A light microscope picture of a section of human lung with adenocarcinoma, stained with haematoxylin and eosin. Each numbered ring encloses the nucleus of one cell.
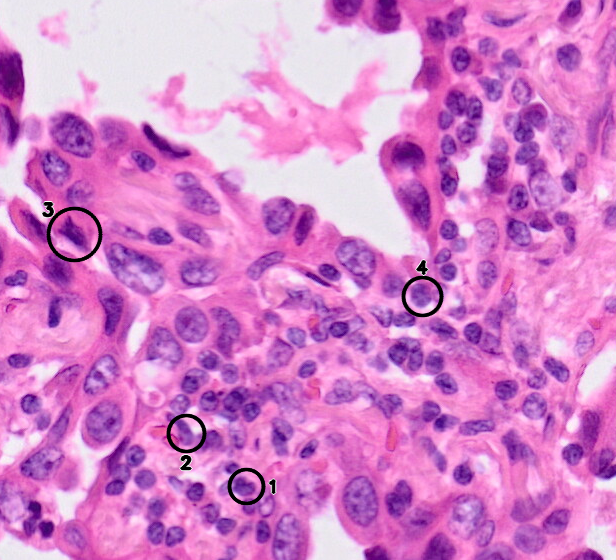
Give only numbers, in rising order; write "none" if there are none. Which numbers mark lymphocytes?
1, 2, 4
